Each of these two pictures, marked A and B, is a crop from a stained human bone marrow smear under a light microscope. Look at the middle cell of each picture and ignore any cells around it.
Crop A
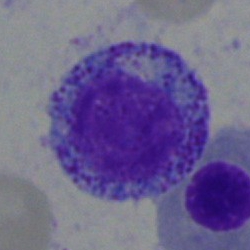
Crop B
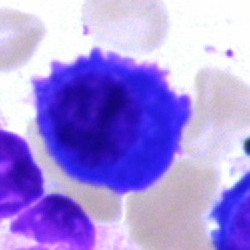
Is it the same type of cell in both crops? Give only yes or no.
no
